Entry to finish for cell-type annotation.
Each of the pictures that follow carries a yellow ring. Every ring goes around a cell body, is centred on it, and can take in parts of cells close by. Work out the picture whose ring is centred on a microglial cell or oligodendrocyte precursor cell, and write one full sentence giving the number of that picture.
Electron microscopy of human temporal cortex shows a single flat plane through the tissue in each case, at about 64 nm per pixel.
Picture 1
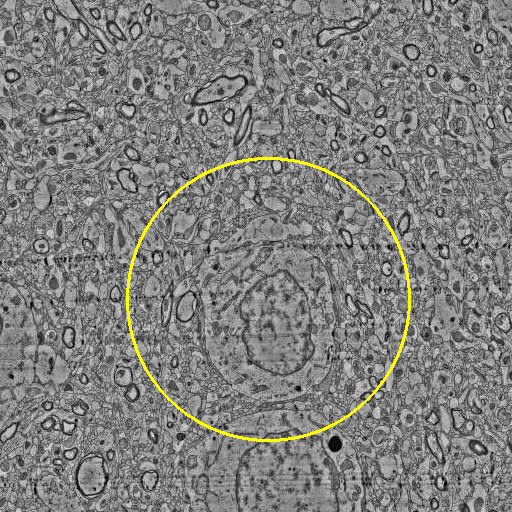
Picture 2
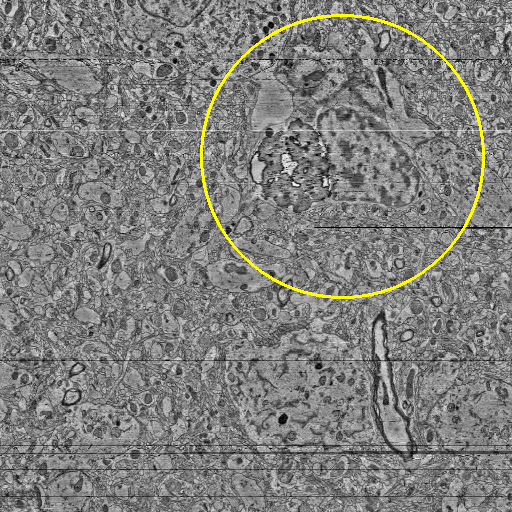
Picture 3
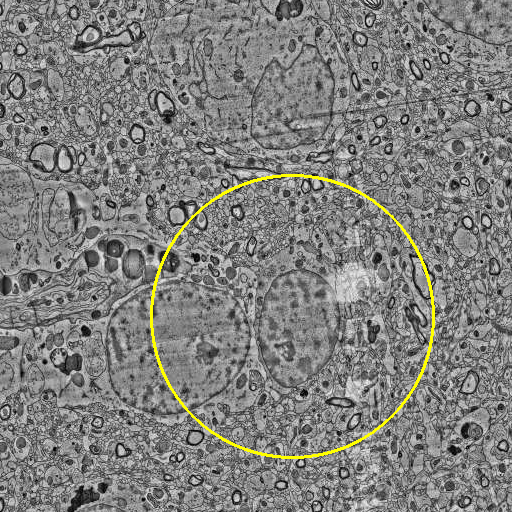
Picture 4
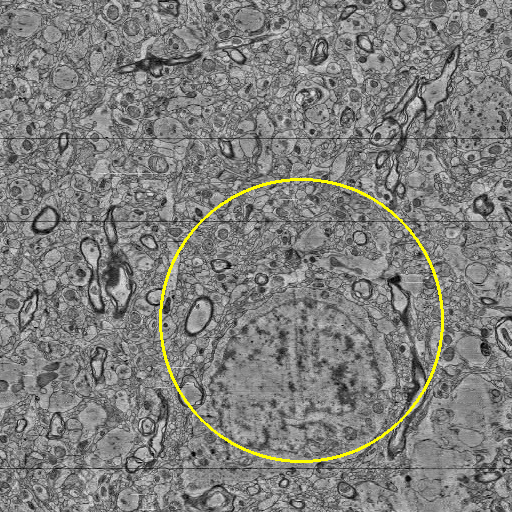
The cell at the heart of the ring in picture 2 matches the request.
